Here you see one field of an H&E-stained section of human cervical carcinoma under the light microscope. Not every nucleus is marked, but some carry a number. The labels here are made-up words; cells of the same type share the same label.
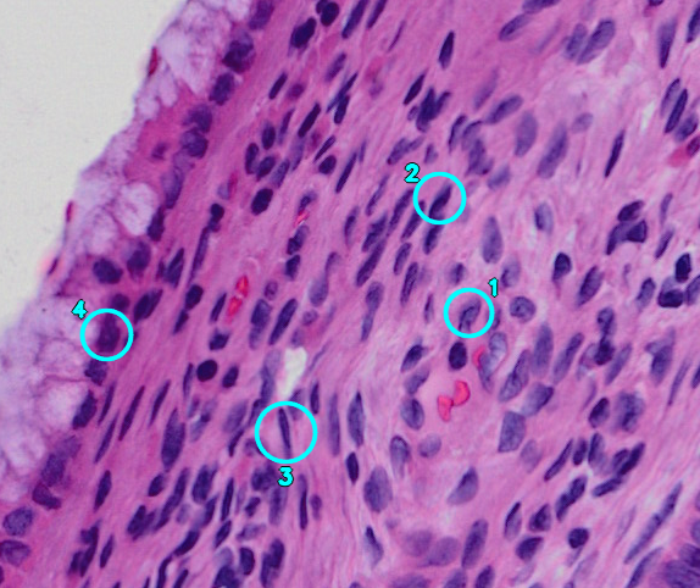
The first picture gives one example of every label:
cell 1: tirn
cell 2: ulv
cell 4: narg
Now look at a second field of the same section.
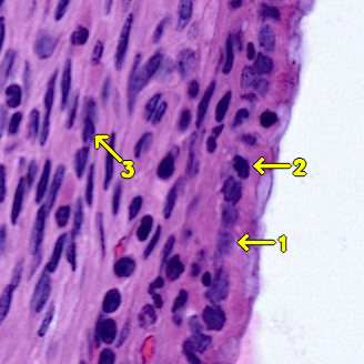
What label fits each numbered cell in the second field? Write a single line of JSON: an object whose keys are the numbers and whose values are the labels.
{"1": "narg", "2": "narg", "3": "ulv"}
